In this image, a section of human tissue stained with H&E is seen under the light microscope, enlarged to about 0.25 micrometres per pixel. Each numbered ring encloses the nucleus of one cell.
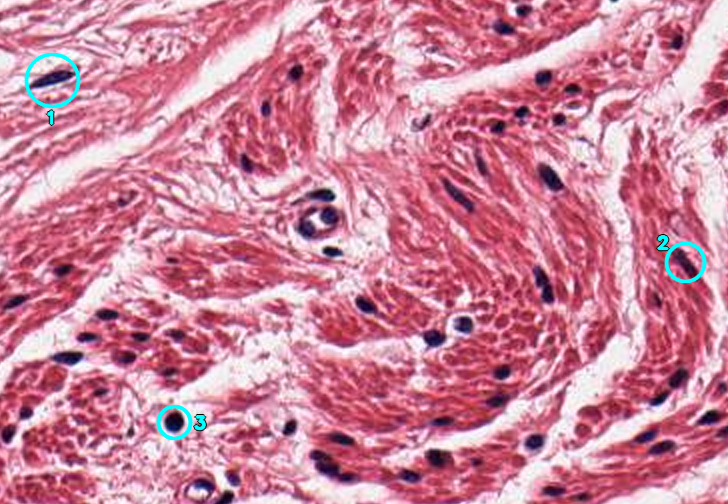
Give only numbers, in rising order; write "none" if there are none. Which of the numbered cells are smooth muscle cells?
2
